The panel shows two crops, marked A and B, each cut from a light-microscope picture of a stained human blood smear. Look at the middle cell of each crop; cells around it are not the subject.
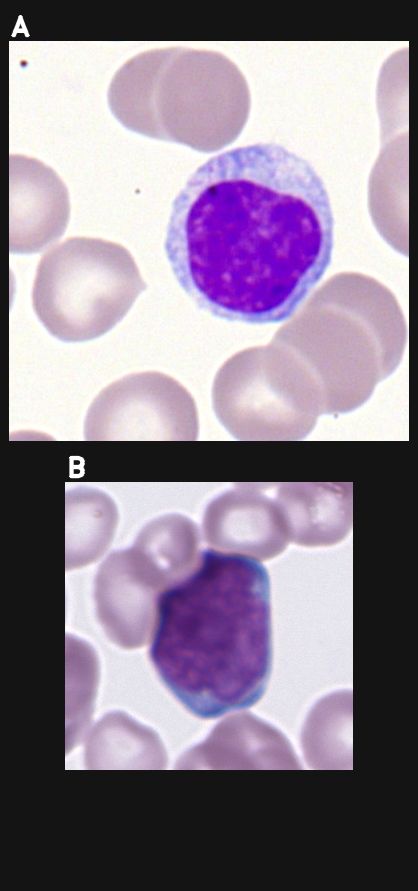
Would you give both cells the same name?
no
